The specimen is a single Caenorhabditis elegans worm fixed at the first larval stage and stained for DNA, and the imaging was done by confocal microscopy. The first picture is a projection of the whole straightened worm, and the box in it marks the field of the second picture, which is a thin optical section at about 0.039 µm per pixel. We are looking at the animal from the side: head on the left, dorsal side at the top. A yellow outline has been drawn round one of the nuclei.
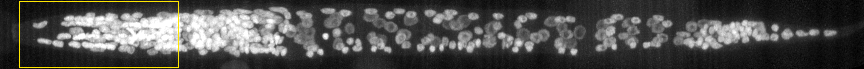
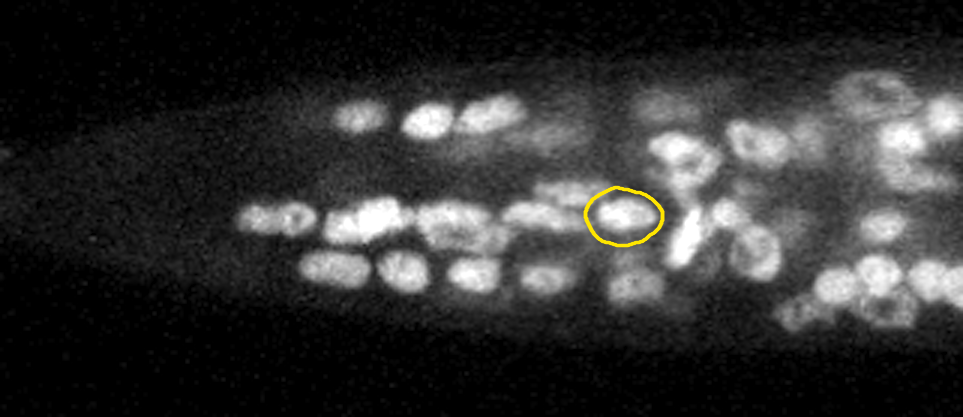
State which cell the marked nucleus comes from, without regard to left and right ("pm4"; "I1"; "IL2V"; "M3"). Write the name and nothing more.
I1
